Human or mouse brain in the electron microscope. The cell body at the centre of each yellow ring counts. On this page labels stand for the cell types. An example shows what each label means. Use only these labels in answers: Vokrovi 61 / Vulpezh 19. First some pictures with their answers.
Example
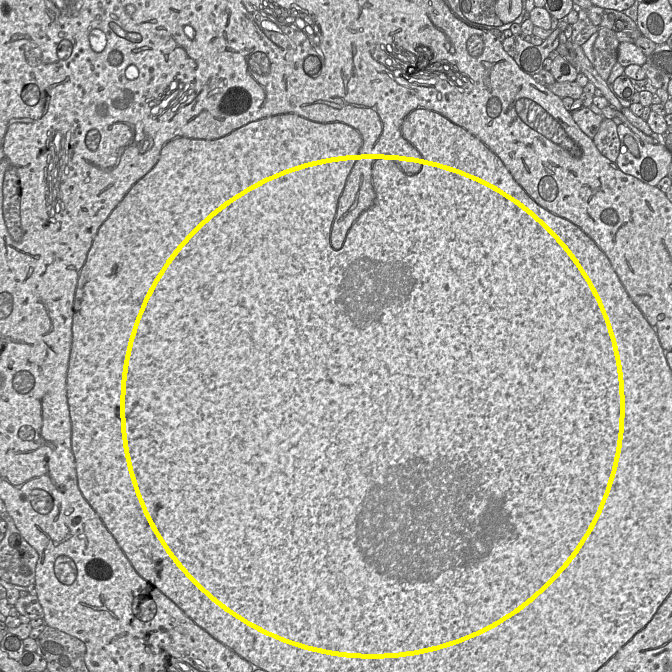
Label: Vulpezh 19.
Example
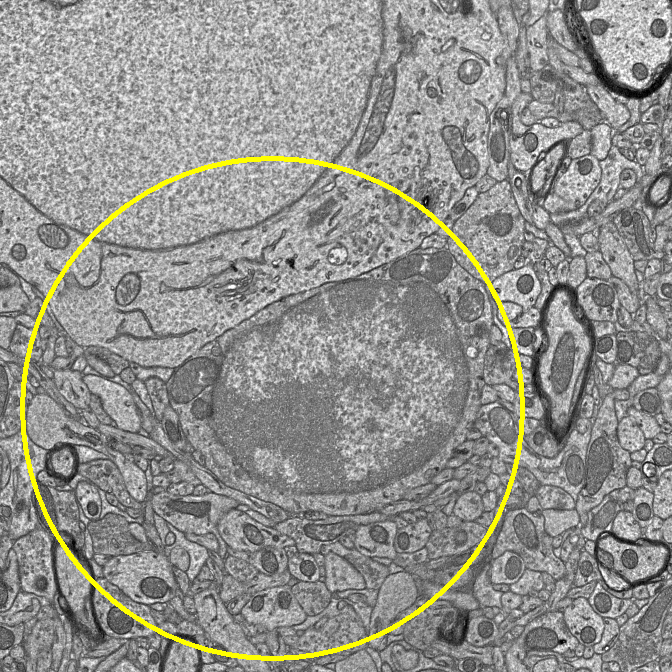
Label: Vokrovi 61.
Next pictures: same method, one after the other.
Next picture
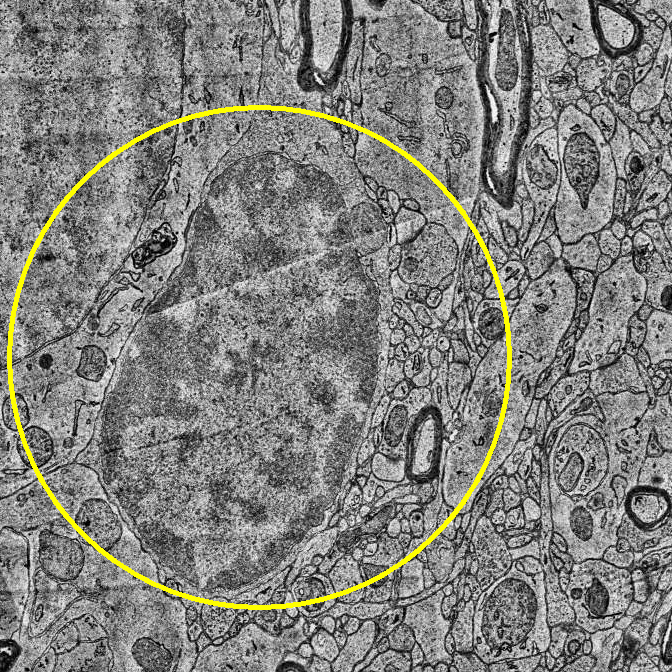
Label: Vokrovi 61.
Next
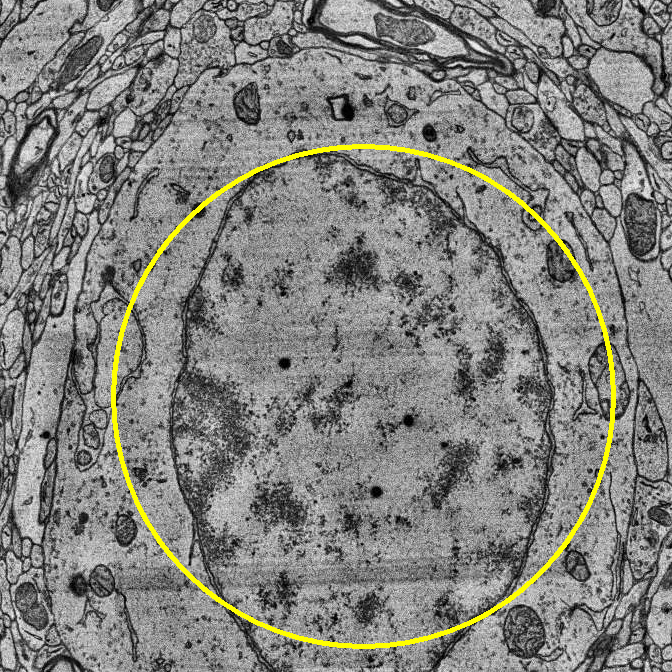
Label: Vulpezh 19.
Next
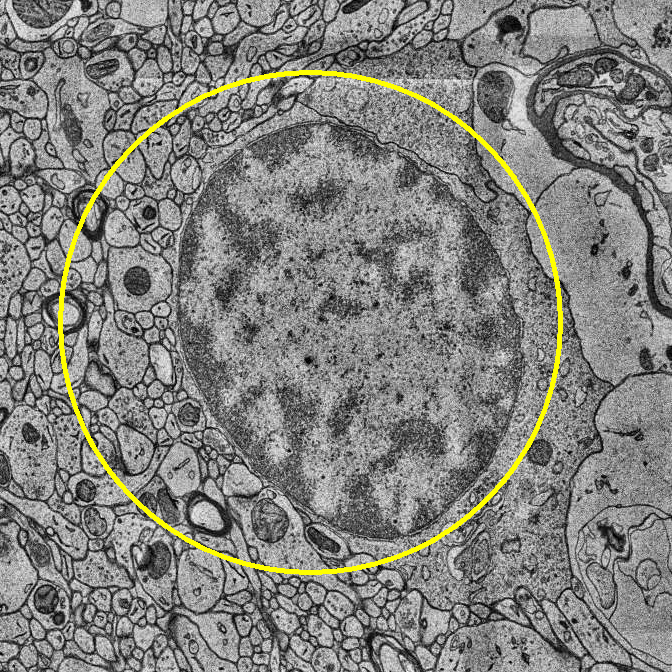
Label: Vokrovi 61.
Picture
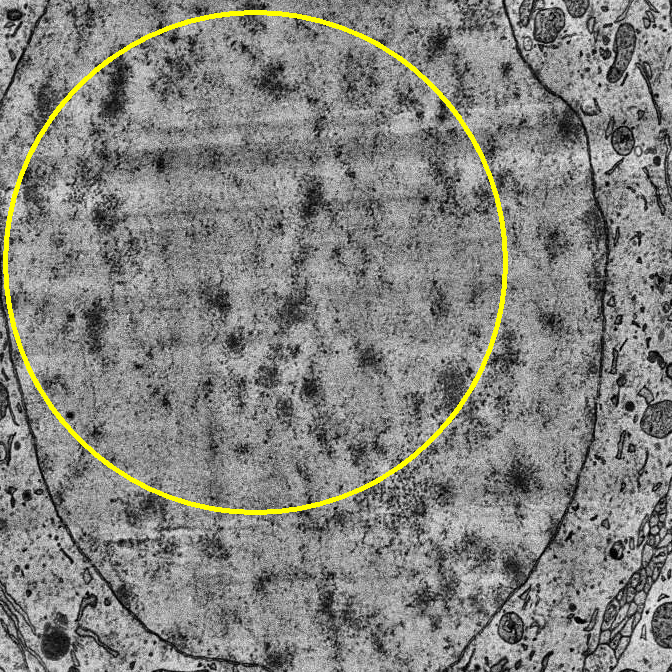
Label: Vulpezh 19.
